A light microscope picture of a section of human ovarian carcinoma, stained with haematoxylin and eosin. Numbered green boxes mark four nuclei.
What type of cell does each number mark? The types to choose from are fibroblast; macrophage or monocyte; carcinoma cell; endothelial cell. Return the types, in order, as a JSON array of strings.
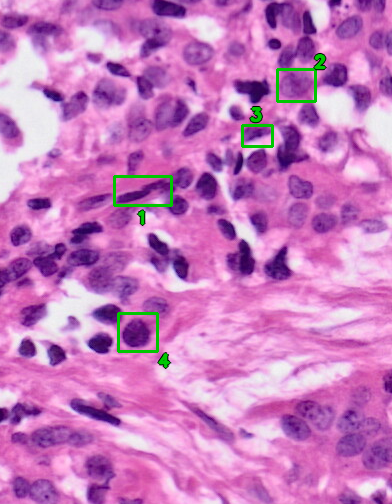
["endothelial cell", "carcinoma cell", "carcinoma cell", "carcinoma cell"]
